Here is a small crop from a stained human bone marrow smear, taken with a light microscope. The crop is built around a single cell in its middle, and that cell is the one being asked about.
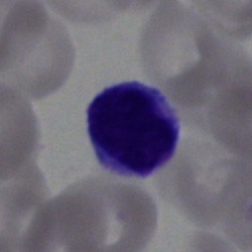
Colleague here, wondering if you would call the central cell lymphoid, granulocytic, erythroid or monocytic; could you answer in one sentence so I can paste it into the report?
In lineage, the cell at the crop's center is lymphoid.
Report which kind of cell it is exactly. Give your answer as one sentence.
By classification, the middle cell of this crop is a lymphocyte.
